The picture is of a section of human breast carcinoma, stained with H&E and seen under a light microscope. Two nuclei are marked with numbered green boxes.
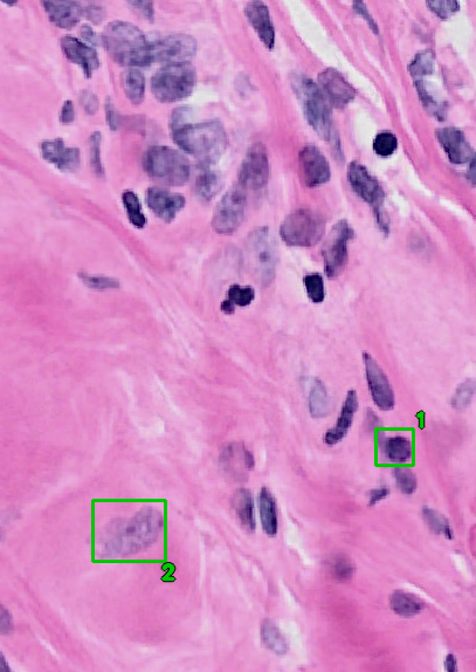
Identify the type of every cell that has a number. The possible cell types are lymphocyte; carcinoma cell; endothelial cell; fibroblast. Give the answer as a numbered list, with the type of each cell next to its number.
1. lymphocyte
2. fibroblast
